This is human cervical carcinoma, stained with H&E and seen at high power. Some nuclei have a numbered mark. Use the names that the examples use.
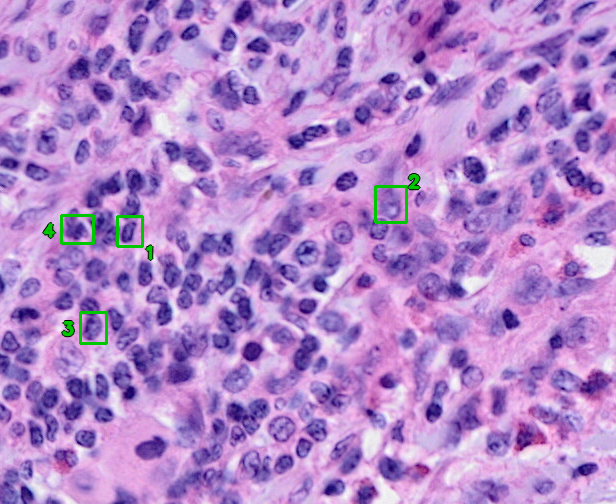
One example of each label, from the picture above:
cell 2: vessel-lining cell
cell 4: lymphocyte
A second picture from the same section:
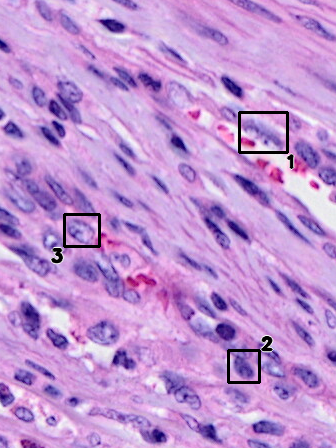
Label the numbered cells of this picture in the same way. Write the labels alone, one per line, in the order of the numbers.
vessel-lining cell
lymphocyte
vessel-lining cell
